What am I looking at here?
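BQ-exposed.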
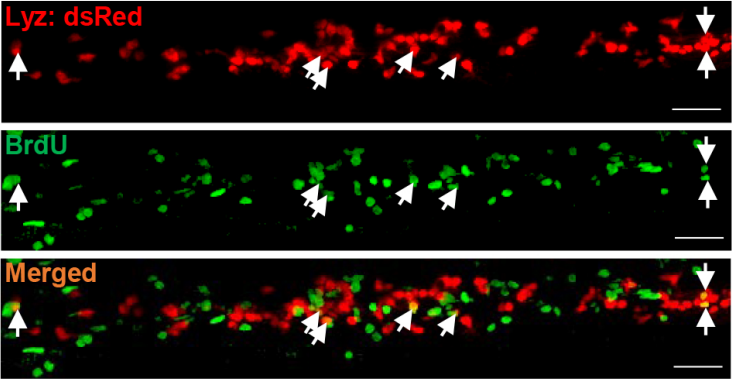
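A narrow horizontal band of tissue holds many small myeloid cells, shown in red, crowded in clusters along its length. Green nuclei of other cells are scattered through the same band, and most of them lie apart from the red cells. In the merged strip, a few red cells carry a green nucleus and appear yellow. These yellow cells are picked out by arrows.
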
